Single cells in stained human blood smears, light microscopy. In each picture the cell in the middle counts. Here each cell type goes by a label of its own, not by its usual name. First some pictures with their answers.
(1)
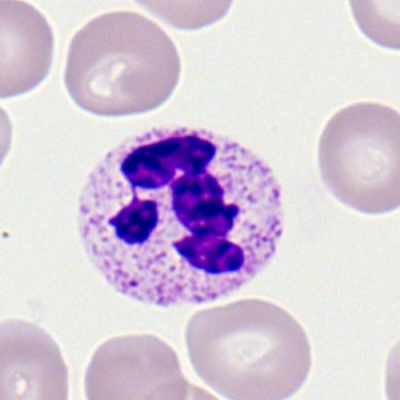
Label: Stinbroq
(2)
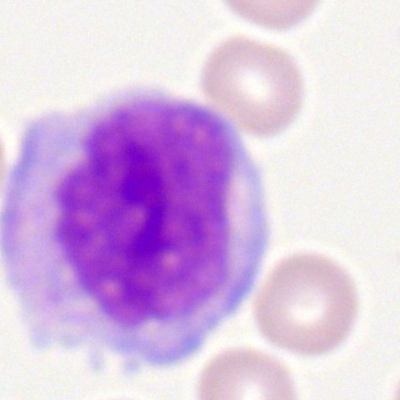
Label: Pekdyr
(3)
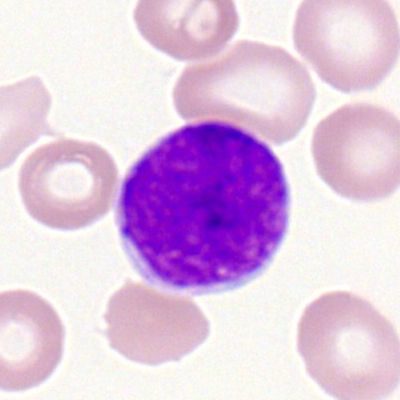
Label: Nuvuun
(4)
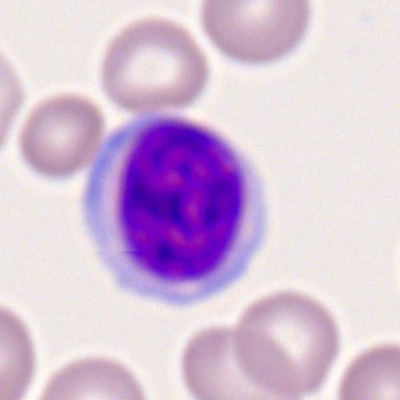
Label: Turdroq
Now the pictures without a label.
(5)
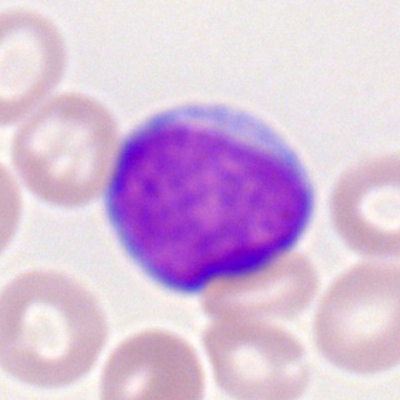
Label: Nuvuun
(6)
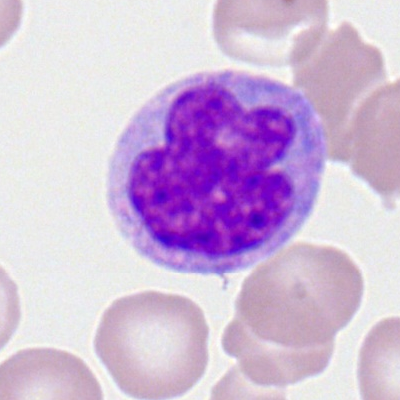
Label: Pekdyr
